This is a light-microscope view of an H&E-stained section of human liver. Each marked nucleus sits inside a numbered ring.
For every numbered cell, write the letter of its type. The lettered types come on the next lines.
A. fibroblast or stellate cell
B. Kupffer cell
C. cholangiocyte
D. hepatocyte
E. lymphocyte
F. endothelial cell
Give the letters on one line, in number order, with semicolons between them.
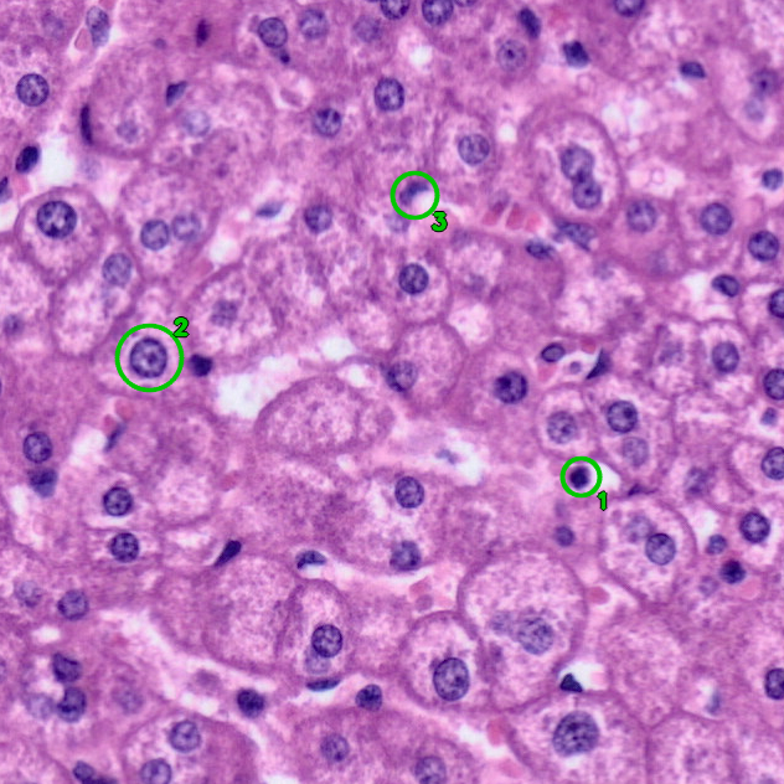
E; D; F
